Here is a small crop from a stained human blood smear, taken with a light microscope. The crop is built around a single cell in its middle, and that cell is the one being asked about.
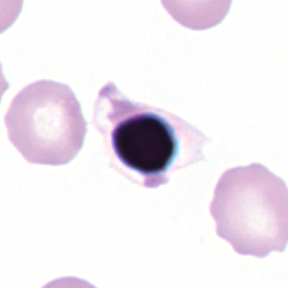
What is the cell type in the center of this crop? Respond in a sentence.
Located at the centre of the crop is a normoblast.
